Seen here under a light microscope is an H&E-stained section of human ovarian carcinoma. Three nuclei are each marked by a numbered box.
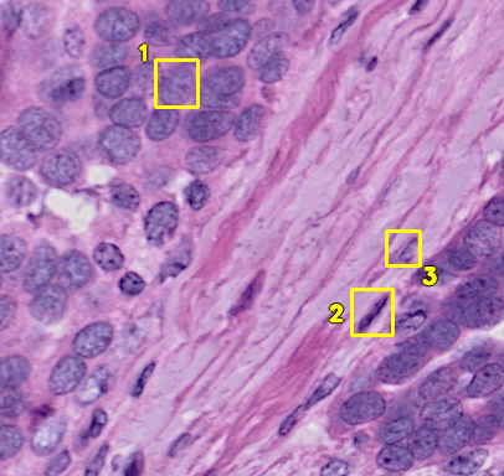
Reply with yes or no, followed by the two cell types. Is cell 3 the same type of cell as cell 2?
Yes, both are fibroblasts.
